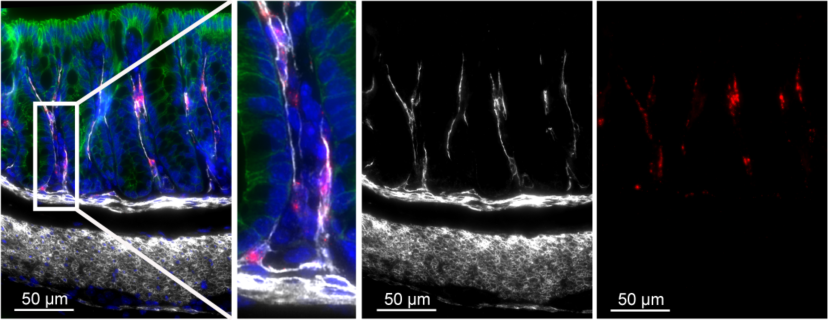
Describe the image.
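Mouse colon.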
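Between the glands, thin elongated white-stained cells run vertically through the connective tissue, and red dots lie along them. An enlarged inset shows these slender spindle-shaped cells with elongated nuclei and red and white colour overlapping. Below the glands lies a thick, densely white-stained muscle layer running parallel to the surface, with a thinner white band just under the mucosa. Separate channel images show the white strands and muscle layers, and the scattered red dots, on their own.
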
